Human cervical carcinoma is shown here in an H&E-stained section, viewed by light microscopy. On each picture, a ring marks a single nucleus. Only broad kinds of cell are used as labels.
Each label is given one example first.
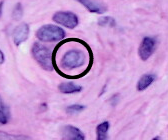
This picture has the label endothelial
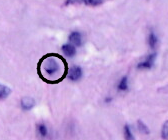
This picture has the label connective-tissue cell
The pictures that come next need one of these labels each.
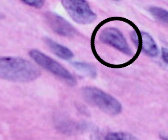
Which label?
endothelial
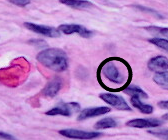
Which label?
endothelial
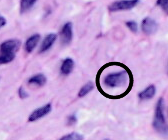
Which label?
connective-tissue cell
